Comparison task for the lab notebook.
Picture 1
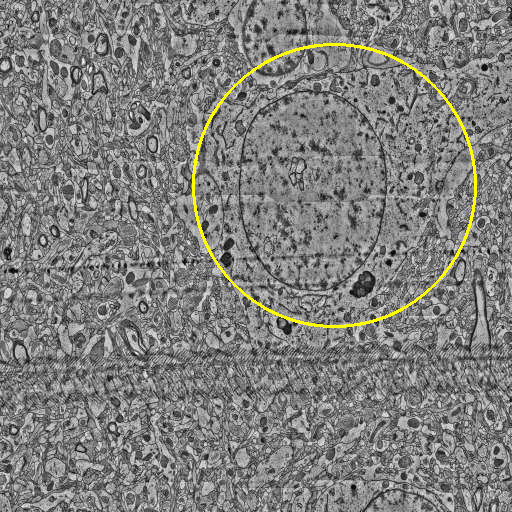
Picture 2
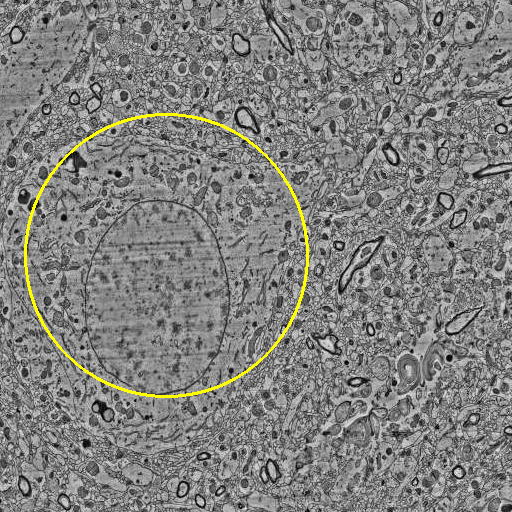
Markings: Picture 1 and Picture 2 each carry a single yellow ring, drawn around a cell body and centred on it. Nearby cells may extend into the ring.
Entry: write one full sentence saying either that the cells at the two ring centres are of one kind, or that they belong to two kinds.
The cells sitting at the ring centres in Picture 1 and Picture 2 are of one kind.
